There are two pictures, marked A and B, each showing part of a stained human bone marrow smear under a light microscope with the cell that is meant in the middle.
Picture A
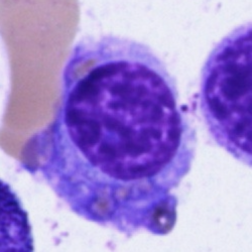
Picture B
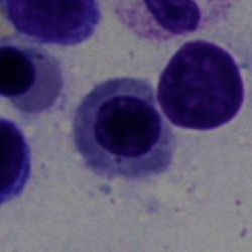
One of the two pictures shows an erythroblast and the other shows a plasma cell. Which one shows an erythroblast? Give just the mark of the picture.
B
